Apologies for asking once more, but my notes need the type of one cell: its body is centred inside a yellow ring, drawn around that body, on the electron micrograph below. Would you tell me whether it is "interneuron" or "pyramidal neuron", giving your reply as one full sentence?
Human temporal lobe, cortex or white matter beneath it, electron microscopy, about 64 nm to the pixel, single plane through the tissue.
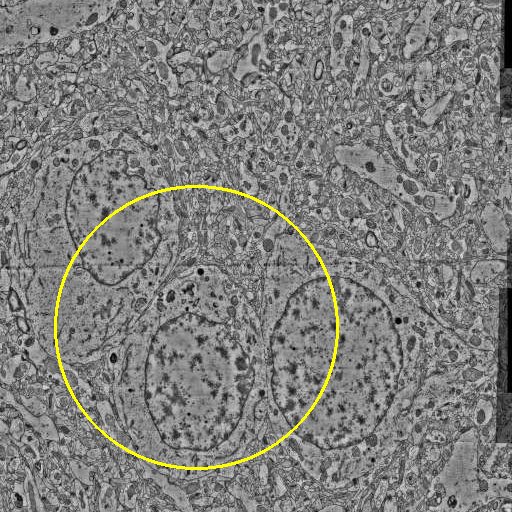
The cell that the yellow ring is centred on is a pyramidal neuron in this micrograph.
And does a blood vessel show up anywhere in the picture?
No, the image shows no blood vessel.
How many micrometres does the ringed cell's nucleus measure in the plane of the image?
About 9 by 7 micrometres in this plane.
